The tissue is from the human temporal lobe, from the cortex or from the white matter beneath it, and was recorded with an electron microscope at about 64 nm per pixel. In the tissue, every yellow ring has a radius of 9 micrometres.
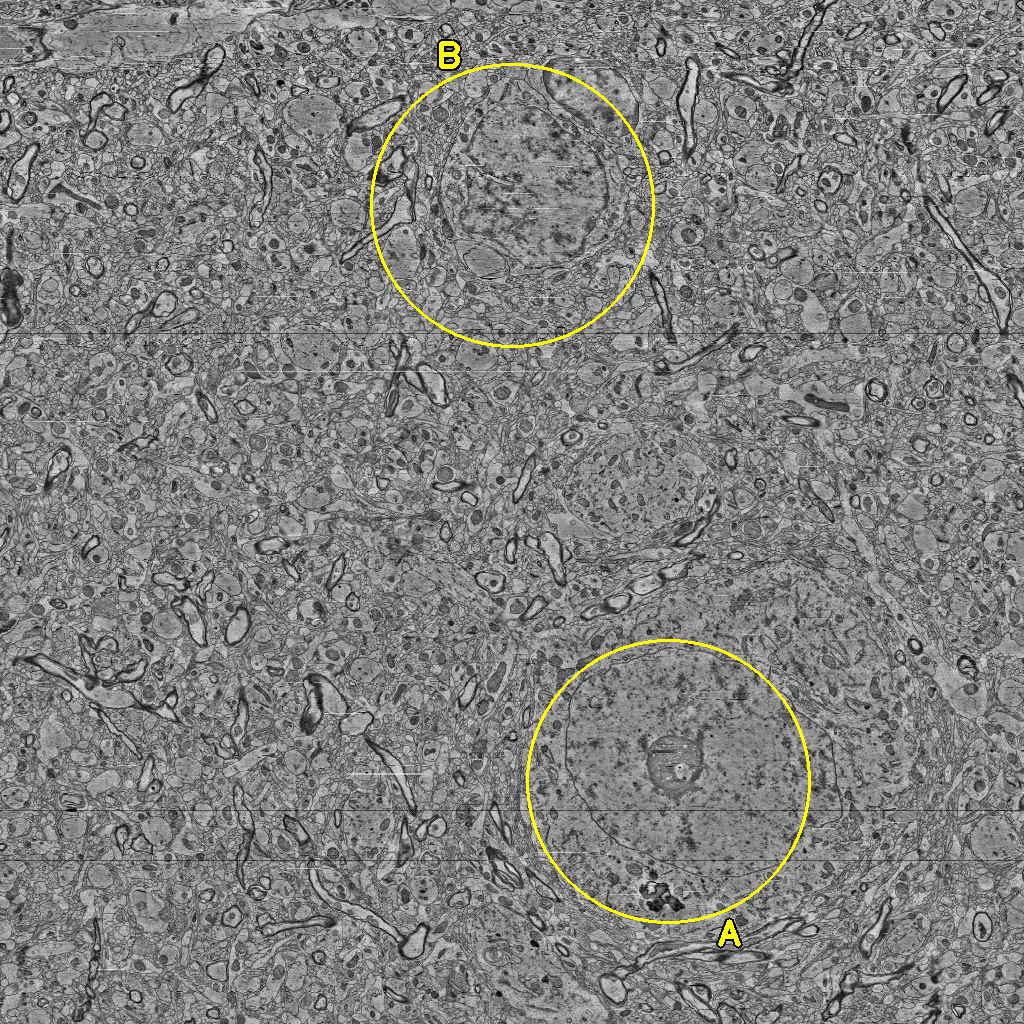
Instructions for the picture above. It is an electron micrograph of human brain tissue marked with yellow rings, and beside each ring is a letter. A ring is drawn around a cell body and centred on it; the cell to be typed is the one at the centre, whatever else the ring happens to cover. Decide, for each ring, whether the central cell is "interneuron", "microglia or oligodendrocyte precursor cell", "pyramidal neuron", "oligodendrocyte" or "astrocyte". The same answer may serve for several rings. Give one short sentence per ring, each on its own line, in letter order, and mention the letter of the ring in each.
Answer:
Ring A is drawn around a pyramidal neuron.
Ring B is drawn around an interneuron.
